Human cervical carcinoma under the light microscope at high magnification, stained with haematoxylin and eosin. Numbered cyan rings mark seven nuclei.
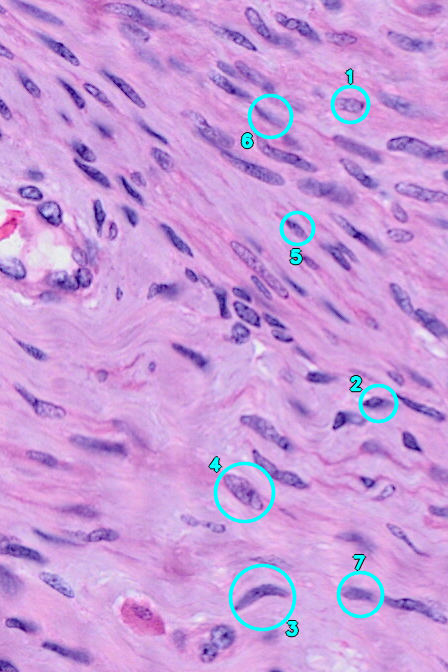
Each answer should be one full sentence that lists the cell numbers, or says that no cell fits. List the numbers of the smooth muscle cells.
Cells 1, 4, 5 and 6 share one type; they are smooth muscle cells.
